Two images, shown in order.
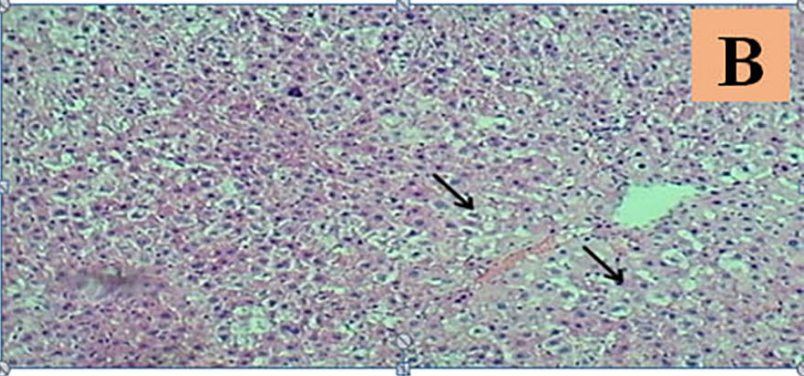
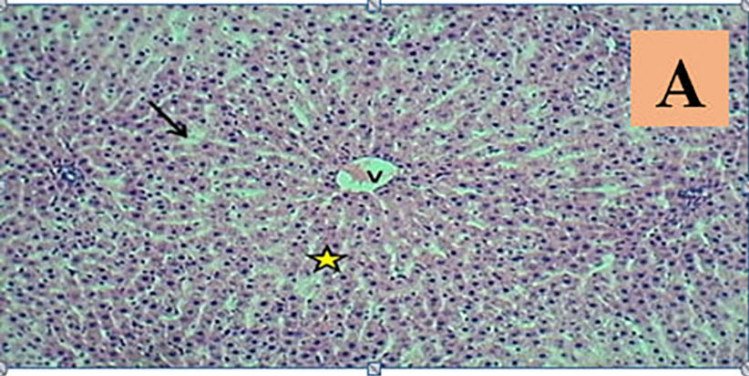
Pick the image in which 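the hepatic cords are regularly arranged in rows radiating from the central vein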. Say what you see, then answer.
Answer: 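First image: the liver cells lie without clear radial rows and many are pale and swollen. Second image: rows of liver cells radiate evenly from a central vessel, separated by pale channels. That points to this answer: the second image.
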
